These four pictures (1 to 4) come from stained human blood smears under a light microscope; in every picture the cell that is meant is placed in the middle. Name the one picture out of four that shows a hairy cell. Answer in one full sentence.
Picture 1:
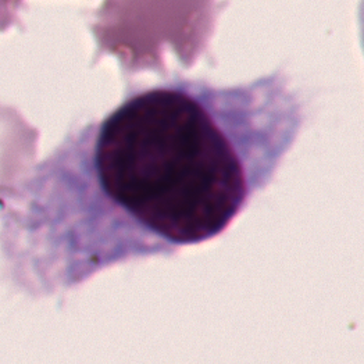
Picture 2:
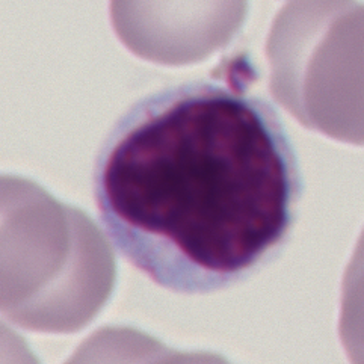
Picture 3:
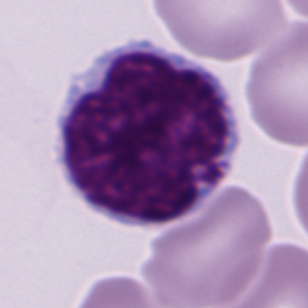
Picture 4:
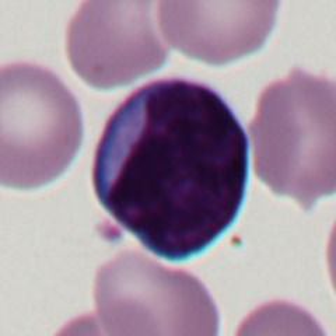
The picture with the hairy cell is 1.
